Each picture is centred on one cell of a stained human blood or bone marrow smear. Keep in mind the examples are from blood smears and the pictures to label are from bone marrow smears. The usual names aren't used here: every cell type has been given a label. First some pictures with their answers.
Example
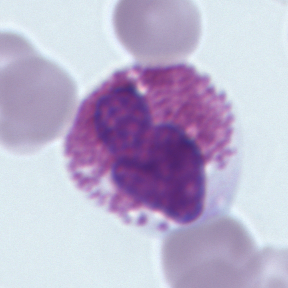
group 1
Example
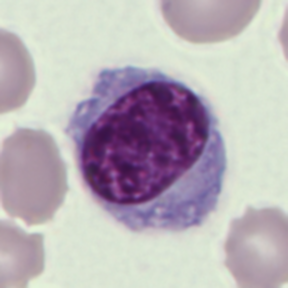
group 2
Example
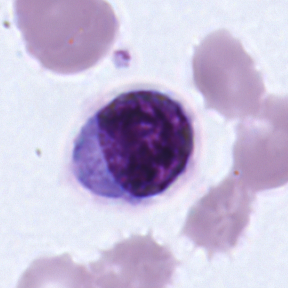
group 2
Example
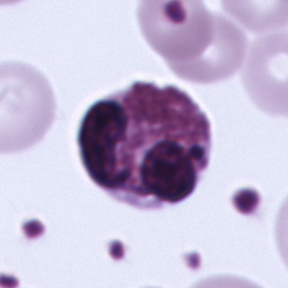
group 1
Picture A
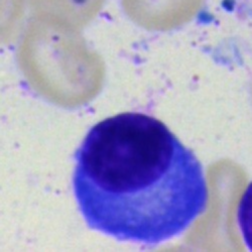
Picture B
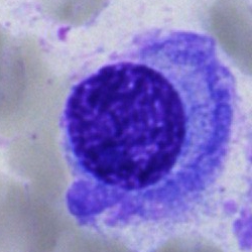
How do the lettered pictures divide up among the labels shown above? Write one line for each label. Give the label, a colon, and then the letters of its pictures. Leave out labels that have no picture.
group 2: A, B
